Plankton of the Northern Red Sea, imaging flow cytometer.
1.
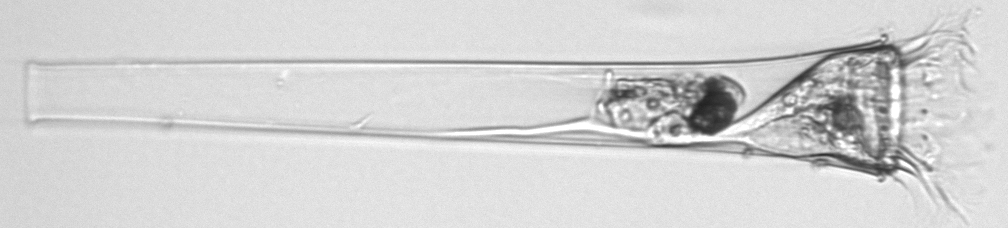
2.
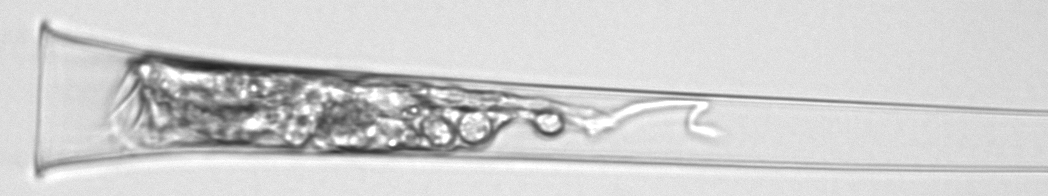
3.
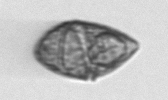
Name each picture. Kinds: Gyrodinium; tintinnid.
1: tintinnid
2: tintinnid
3: Gyrodinium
